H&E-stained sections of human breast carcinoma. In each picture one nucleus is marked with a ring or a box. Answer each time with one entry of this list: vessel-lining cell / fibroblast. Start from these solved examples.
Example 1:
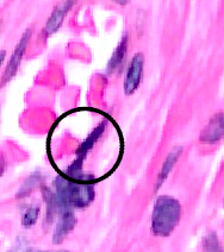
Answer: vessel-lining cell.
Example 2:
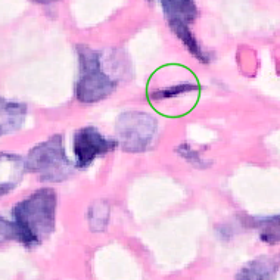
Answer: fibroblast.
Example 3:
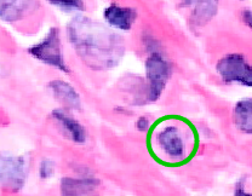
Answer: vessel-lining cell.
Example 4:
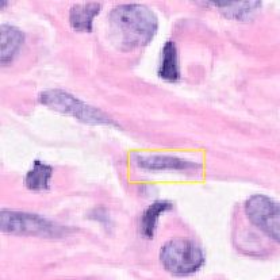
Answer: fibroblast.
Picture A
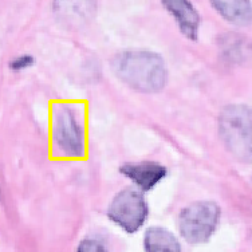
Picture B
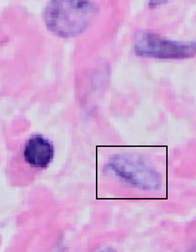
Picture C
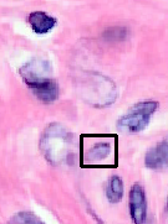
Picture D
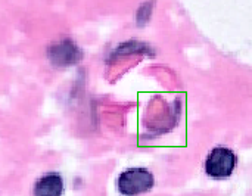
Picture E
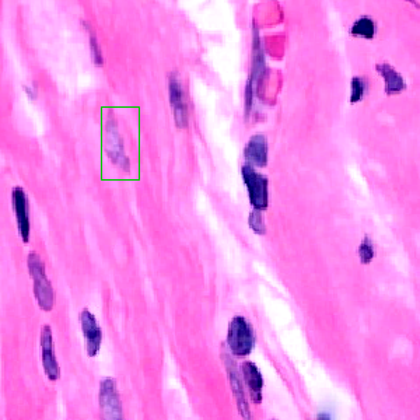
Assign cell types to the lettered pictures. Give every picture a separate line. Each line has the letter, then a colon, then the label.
A: vessel-lining cell.
B: fibroblast.
C: vessel-lining cell.
D: vessel-lining cell.
E: fibroblast.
